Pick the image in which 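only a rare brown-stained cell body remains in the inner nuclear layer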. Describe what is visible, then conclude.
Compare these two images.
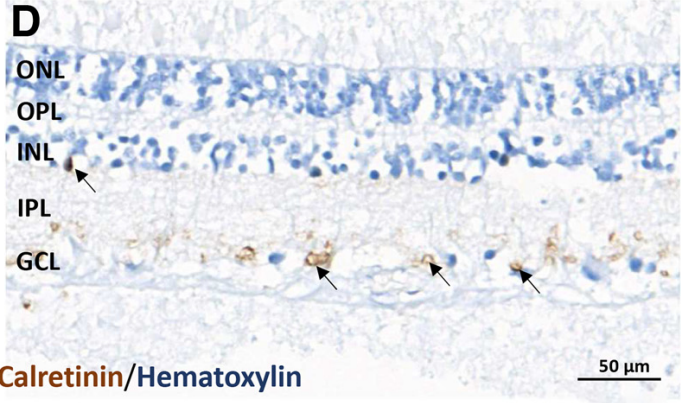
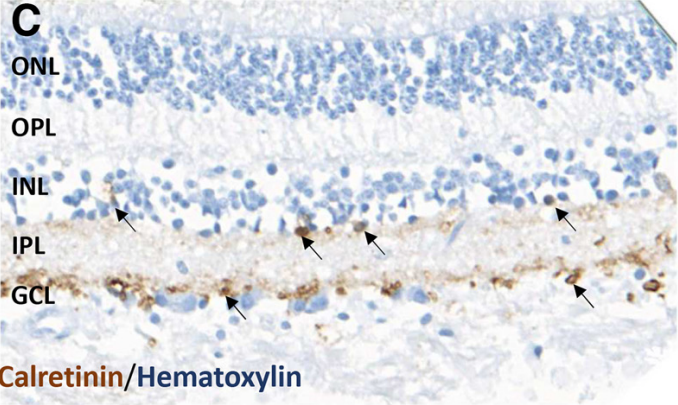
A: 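First image: a single brown-stained cell body is seen in the inner nuclear layer, with brown cells mainly in the ganglion cell layer. Second image: several brown-stained cell bodies line the inner edge of the inner nuclear layer.
Conclusion: the first image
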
